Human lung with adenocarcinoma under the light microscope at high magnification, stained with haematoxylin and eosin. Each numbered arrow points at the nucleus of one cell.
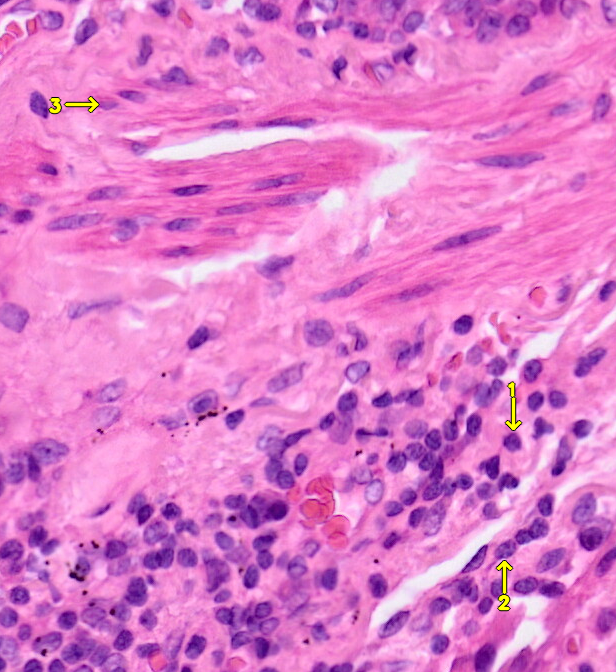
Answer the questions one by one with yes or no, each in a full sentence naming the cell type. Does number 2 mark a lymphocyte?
Yes, the nucleus numbered 2 belongs to a lymphocyte.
